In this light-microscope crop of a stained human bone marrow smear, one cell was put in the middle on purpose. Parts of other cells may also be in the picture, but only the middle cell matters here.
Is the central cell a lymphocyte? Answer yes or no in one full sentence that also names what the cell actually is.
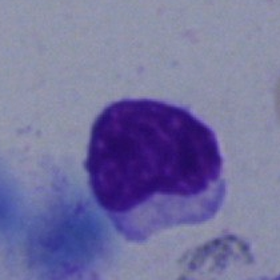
Yes, the identity of the central cell is that of a lymphocyte.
